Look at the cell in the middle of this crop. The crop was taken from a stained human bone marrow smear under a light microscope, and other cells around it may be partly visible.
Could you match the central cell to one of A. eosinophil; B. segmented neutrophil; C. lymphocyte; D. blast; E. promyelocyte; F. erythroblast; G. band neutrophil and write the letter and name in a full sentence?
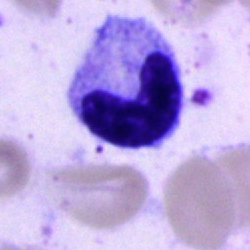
The cell positioned centrally is a band neutrophil, as given in option G, which is correct.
